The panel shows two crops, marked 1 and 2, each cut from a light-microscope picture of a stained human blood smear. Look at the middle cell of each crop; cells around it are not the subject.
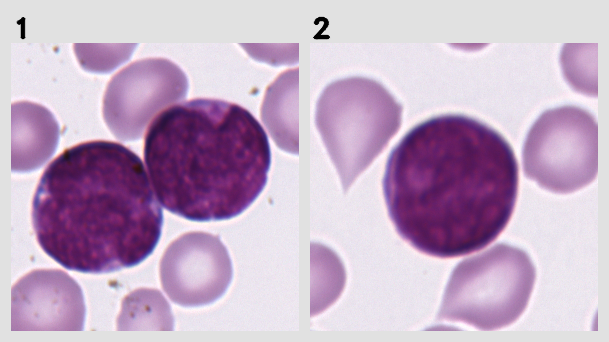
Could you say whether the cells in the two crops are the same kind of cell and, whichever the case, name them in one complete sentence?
Yes, that holds, both crops show blasts.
